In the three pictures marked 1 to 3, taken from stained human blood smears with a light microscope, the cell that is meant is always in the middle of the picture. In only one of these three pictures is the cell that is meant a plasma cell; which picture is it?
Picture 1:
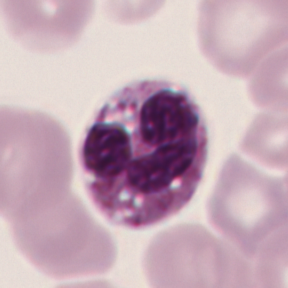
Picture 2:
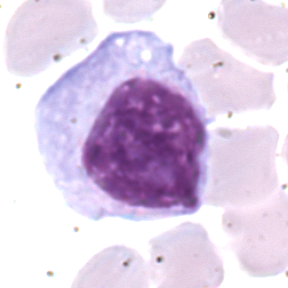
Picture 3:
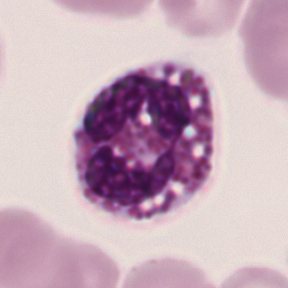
2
